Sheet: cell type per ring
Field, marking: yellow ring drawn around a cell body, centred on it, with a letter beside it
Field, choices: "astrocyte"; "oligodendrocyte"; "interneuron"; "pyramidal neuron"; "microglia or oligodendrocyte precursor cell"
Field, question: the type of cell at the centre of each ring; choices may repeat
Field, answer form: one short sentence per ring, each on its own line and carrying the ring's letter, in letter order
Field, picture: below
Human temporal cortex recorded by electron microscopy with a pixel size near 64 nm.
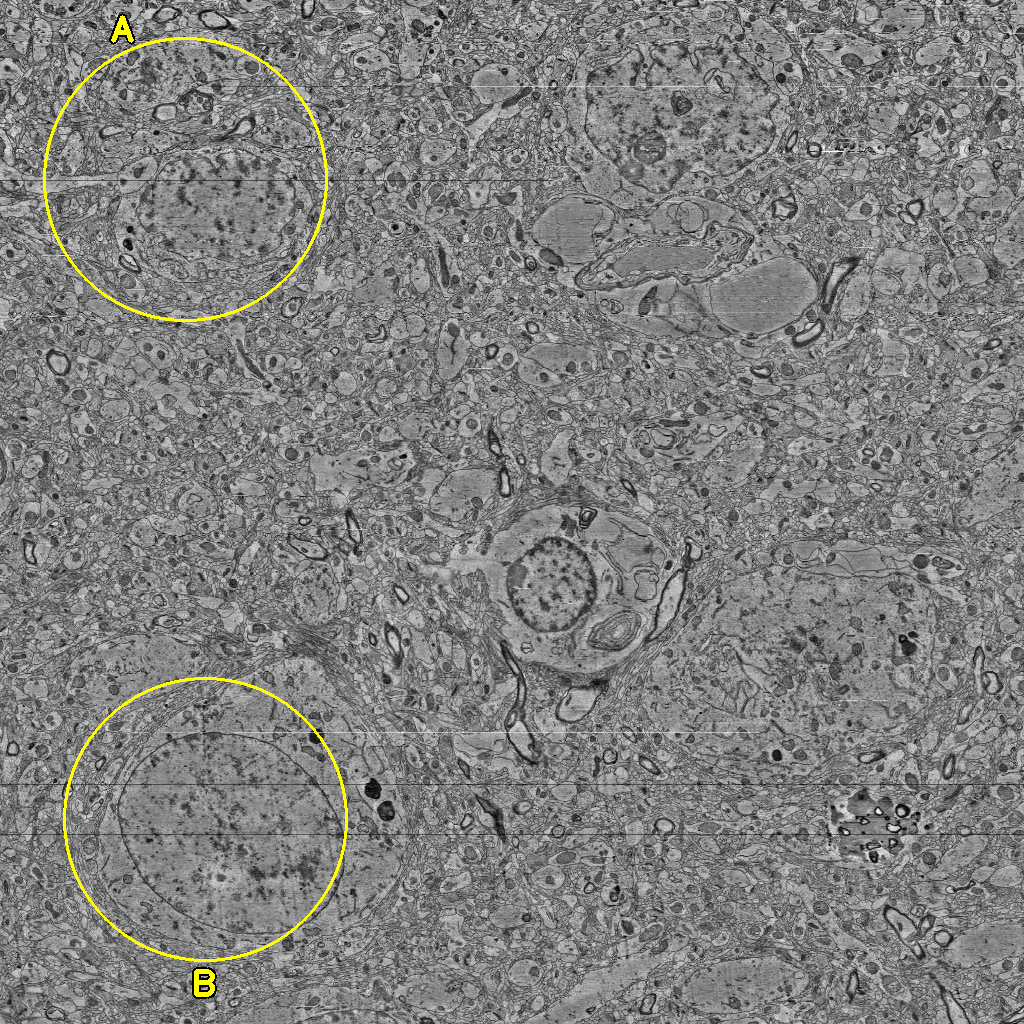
The cell body inside ring A, at its centre, is an interneuron.
The cell body inside ring B, at its centre, is a pyramidal neuron.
